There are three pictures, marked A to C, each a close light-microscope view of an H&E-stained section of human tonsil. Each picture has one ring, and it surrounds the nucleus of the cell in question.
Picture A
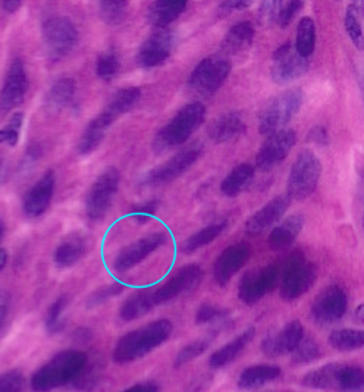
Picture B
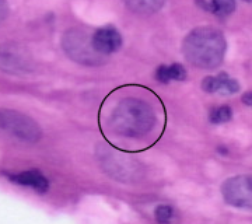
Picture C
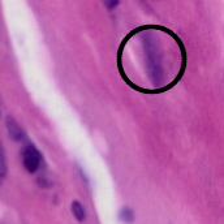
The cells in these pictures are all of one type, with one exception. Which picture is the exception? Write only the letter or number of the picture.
C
